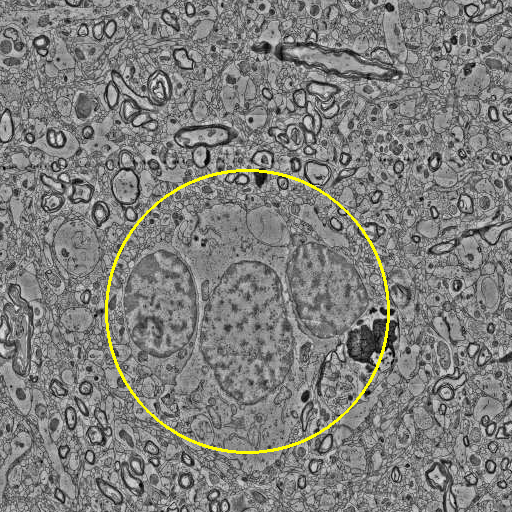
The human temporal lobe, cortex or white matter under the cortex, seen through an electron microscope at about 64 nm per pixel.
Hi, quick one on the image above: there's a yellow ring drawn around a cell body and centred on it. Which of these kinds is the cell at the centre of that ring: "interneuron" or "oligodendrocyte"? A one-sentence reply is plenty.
The cell at the centre of the ring is an interneuron.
